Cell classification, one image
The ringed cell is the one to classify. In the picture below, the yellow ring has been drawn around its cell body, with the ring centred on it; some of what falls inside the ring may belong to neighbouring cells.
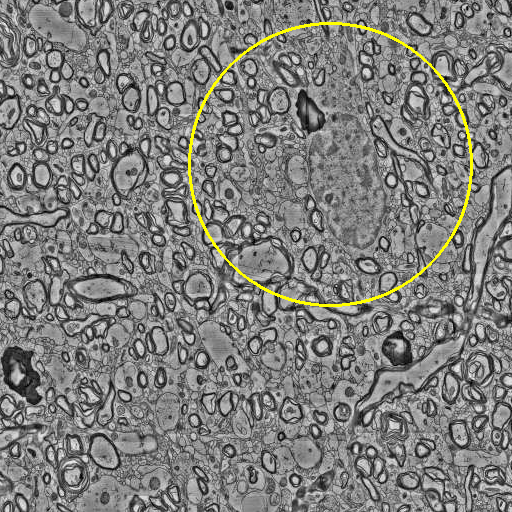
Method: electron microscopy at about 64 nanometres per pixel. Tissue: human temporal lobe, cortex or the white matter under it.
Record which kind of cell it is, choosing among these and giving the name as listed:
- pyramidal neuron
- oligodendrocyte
oligodendrocyte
